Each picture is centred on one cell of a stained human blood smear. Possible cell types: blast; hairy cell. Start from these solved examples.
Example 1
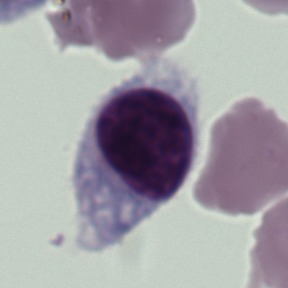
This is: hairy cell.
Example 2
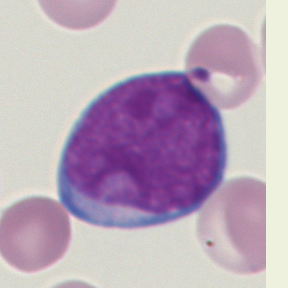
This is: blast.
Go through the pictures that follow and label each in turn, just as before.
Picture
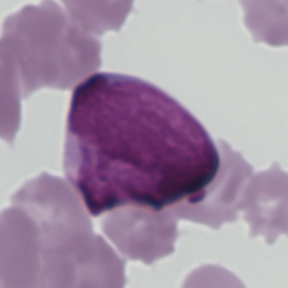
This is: blast.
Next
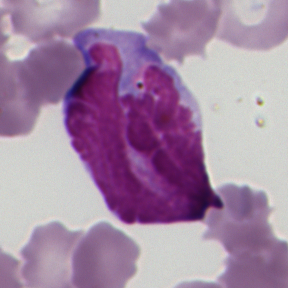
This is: blast.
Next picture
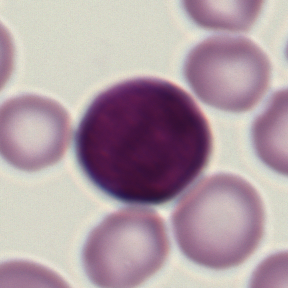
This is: blast.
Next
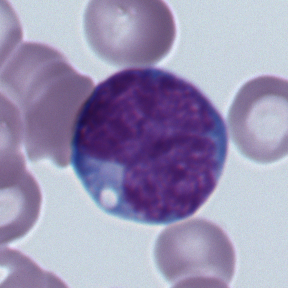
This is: blast.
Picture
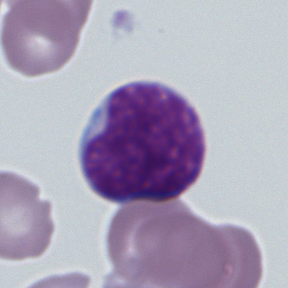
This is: blast.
